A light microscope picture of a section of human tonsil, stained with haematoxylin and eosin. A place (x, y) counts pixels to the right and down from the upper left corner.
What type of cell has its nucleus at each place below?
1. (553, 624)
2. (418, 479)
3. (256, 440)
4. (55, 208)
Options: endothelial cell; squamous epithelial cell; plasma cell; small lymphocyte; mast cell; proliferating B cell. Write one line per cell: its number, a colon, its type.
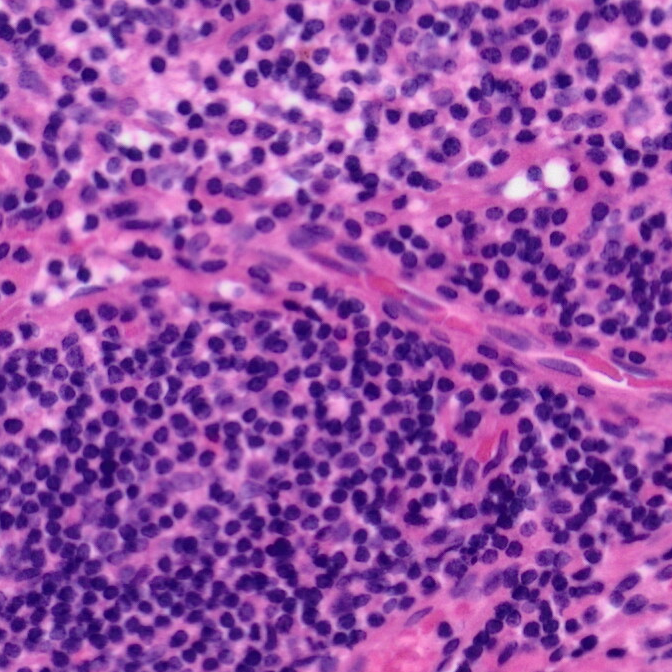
1: small lymphocyte
2: small lymphocyte
3: small lymphocyte
4: plasma cell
